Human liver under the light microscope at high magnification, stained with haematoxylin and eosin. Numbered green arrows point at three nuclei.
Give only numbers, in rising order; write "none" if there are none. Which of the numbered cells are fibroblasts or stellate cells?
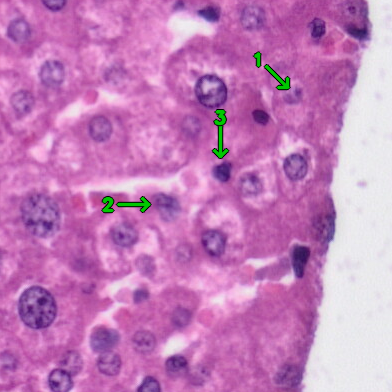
3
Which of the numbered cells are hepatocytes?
1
